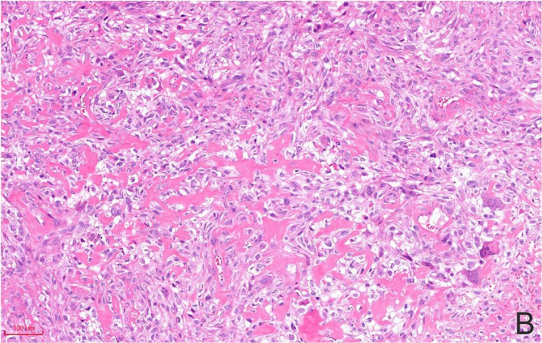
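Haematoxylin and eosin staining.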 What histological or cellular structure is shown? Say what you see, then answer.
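Pink, glassy, irregular bands of matrix run between the tumor cells. The matrix is lace-like and branches among atypical cells. So: osteoid formation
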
